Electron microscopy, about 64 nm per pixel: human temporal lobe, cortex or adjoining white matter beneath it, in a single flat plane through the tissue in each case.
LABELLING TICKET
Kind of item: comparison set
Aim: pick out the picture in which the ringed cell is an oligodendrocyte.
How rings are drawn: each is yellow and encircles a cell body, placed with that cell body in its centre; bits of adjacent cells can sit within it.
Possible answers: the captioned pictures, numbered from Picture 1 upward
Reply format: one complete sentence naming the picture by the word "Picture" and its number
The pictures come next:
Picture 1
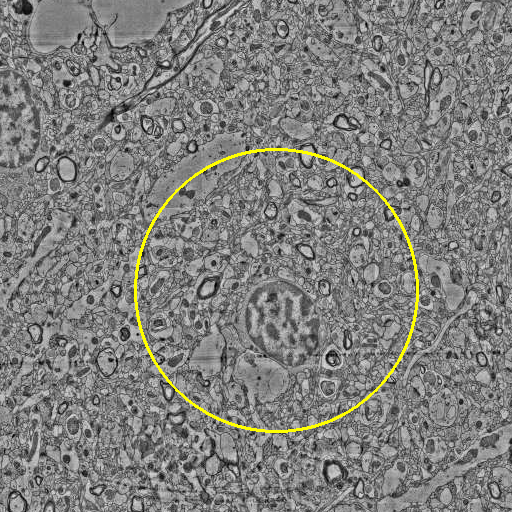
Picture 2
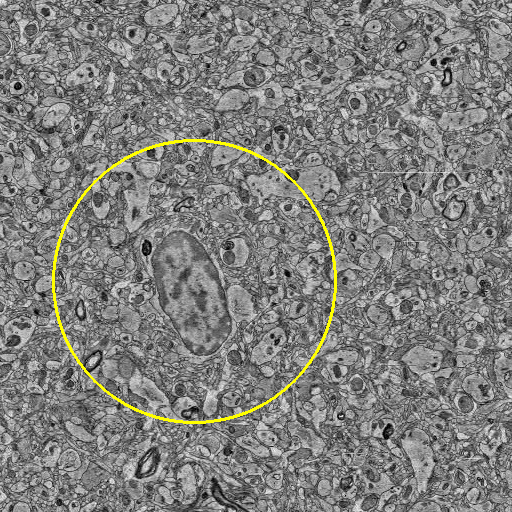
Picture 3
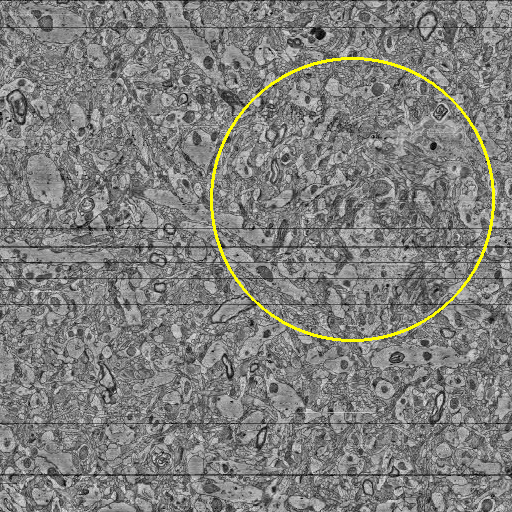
The cell centred inside the yellow ring in Picture 1 is the requested one.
